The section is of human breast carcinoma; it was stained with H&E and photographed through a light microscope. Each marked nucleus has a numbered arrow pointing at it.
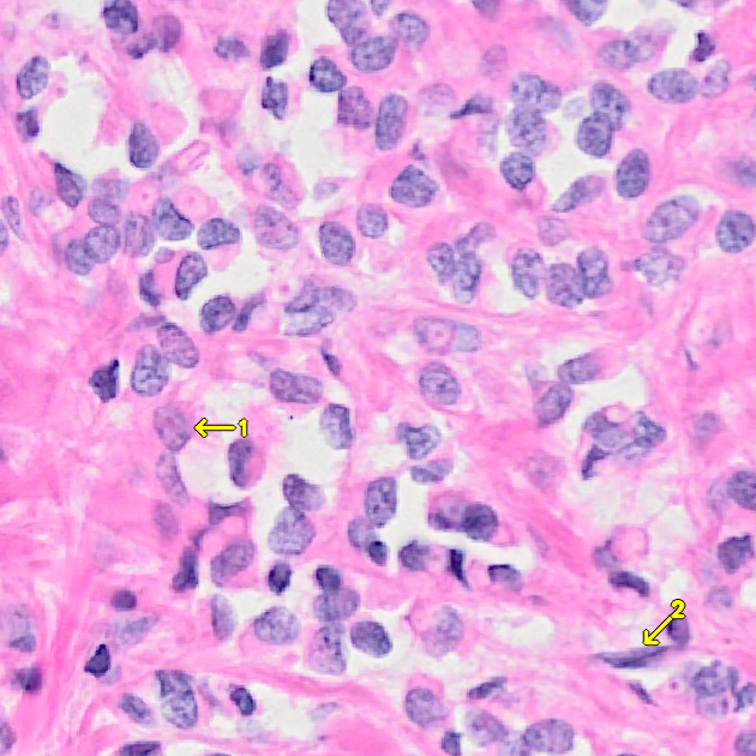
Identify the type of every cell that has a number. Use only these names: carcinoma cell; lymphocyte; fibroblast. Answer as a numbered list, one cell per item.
1. carcinoma cell
2. fibroblast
